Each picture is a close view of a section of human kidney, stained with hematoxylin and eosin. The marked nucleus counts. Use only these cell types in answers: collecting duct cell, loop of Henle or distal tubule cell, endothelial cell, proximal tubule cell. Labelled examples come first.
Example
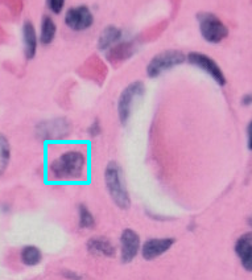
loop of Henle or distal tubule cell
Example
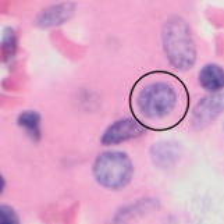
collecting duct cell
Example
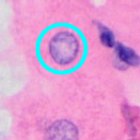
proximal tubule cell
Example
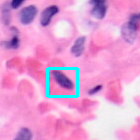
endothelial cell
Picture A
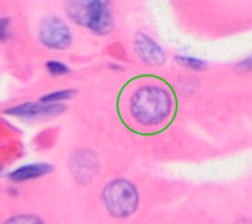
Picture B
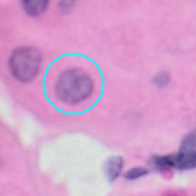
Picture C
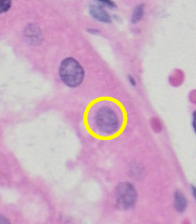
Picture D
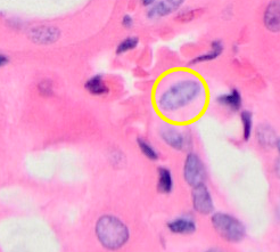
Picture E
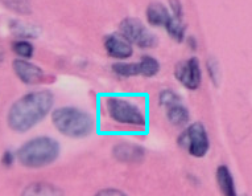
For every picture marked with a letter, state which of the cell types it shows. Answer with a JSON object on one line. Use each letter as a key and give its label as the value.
{"A": "proximal tubule cell", "B": "proximal tubule cell", "C": "proximal tubule cell", "D": "collecting duct cell", "E": "endothelial cell"}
